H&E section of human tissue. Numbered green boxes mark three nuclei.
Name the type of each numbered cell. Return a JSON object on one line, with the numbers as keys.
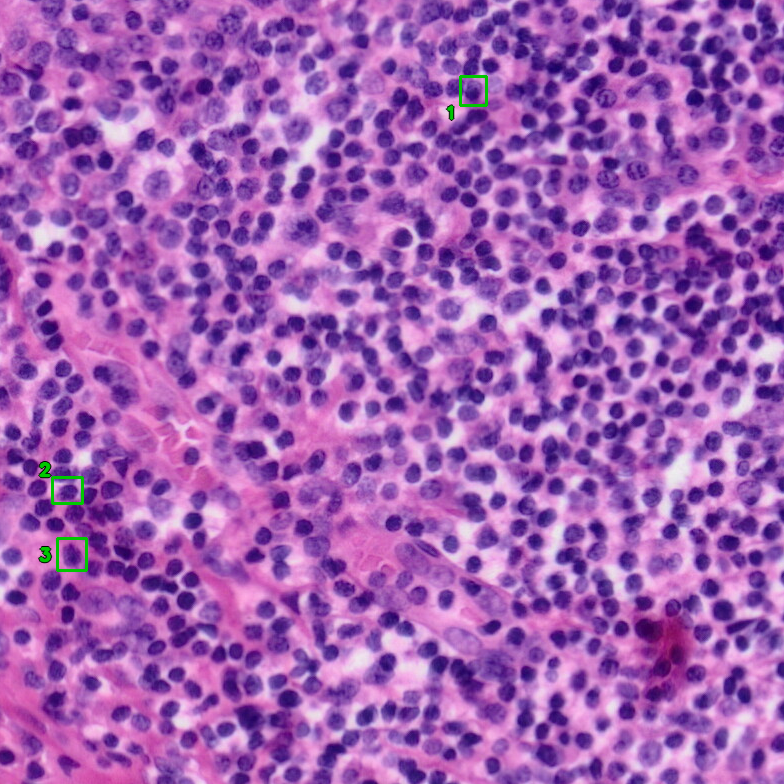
{"1": "small lymphocyte", "2": "small lymphocyte", "3": "endothelial cell"}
